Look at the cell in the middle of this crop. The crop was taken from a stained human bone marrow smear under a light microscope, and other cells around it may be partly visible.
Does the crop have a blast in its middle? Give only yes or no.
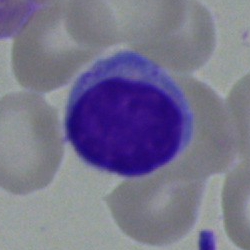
no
